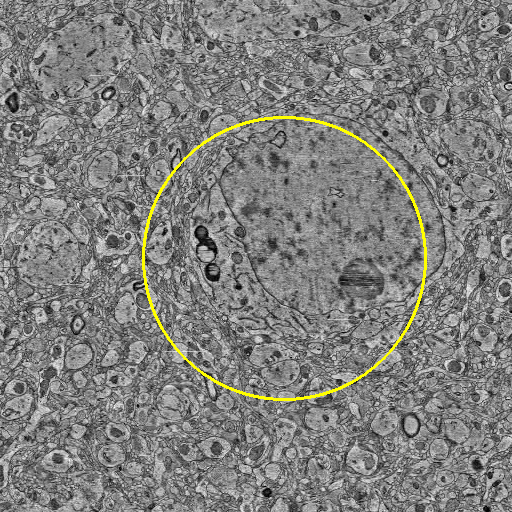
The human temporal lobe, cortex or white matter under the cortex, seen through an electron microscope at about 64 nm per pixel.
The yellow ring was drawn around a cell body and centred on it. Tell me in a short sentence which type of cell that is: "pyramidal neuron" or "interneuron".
The cell at the ring's centre is a pyramidal neuron.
